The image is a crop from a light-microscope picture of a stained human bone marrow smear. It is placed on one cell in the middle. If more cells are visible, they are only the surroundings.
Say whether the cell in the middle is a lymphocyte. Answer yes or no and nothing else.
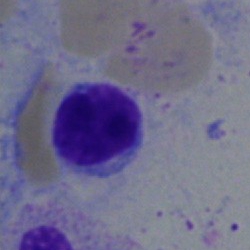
yes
